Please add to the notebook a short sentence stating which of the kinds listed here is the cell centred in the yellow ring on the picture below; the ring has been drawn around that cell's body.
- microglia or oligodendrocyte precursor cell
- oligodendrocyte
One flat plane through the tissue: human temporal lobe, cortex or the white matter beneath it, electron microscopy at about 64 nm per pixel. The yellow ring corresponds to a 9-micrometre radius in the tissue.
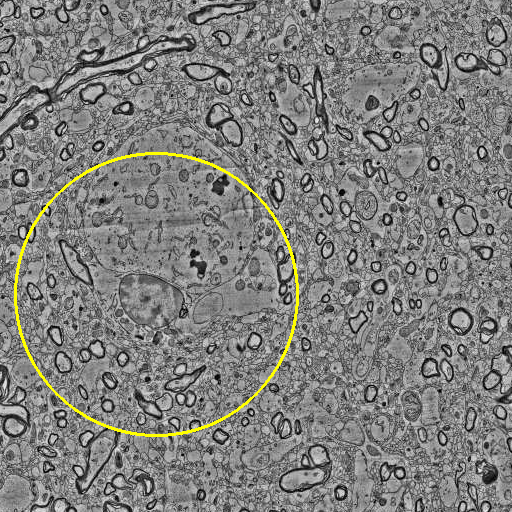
The cell centred in the yellow ring is a microglial cell or oligodendrocyte precursor cell.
